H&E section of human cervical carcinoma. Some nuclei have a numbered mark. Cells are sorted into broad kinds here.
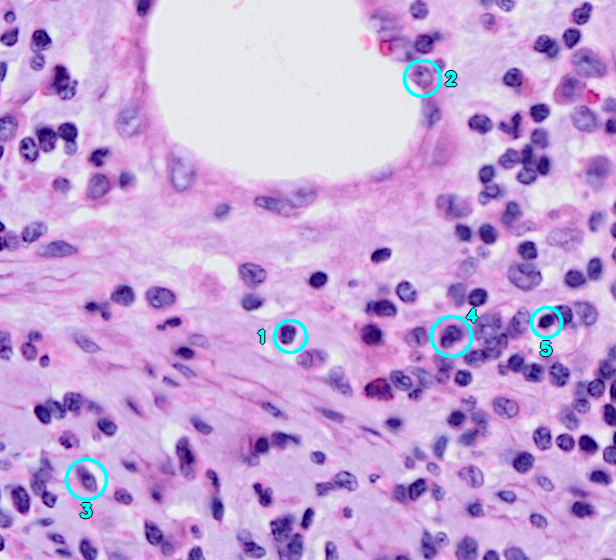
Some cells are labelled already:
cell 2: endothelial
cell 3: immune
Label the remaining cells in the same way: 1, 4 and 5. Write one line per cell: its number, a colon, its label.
1: immune
4: immune
5: immune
